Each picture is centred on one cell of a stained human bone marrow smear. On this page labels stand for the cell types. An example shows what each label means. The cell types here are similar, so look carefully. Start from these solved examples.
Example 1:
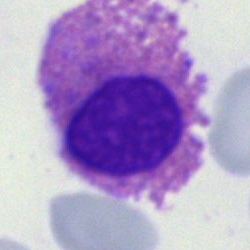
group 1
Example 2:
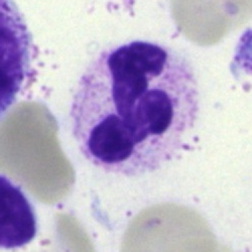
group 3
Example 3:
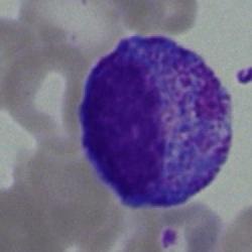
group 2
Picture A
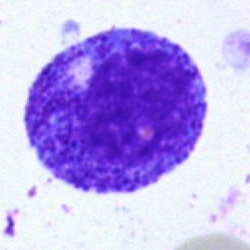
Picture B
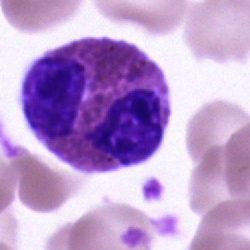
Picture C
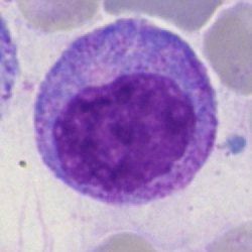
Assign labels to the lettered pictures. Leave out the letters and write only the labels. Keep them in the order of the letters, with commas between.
group 2, group 1, group 2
